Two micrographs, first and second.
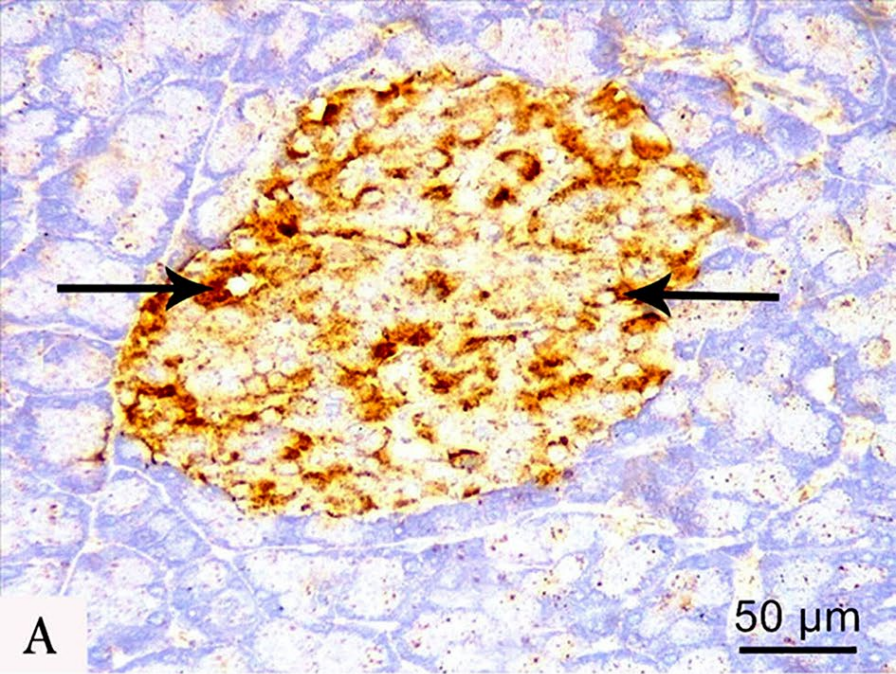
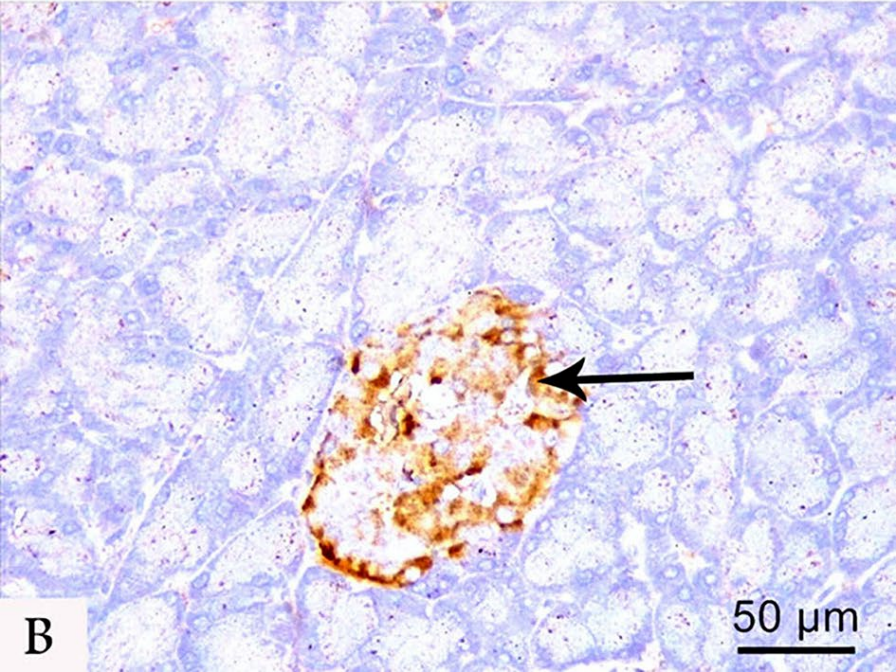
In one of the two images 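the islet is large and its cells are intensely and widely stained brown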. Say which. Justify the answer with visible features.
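Second image: a small cell cluster with patchy, lighter brown staining and many pale unstained areas. First image: a large cell cluster with dense, dark brown staining spread through most of it.
Answer: the first image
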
